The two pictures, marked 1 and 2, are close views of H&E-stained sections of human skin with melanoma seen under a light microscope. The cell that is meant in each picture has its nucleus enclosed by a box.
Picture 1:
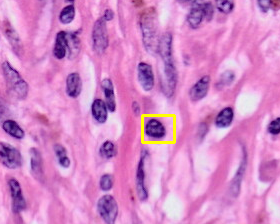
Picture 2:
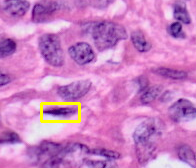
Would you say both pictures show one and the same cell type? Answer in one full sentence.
No, picture 1 shows a plasma cell and picture 2 shows a “fibroblast or myofibroblast”.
